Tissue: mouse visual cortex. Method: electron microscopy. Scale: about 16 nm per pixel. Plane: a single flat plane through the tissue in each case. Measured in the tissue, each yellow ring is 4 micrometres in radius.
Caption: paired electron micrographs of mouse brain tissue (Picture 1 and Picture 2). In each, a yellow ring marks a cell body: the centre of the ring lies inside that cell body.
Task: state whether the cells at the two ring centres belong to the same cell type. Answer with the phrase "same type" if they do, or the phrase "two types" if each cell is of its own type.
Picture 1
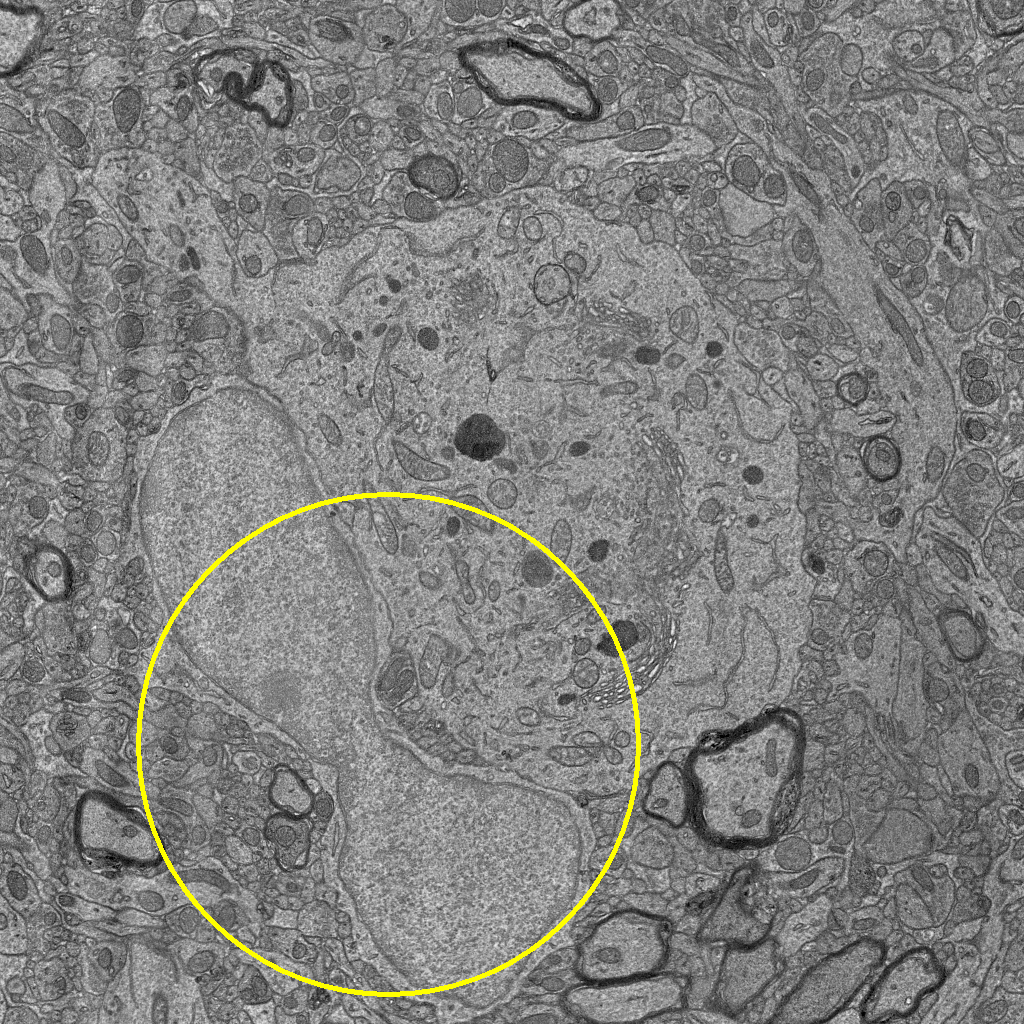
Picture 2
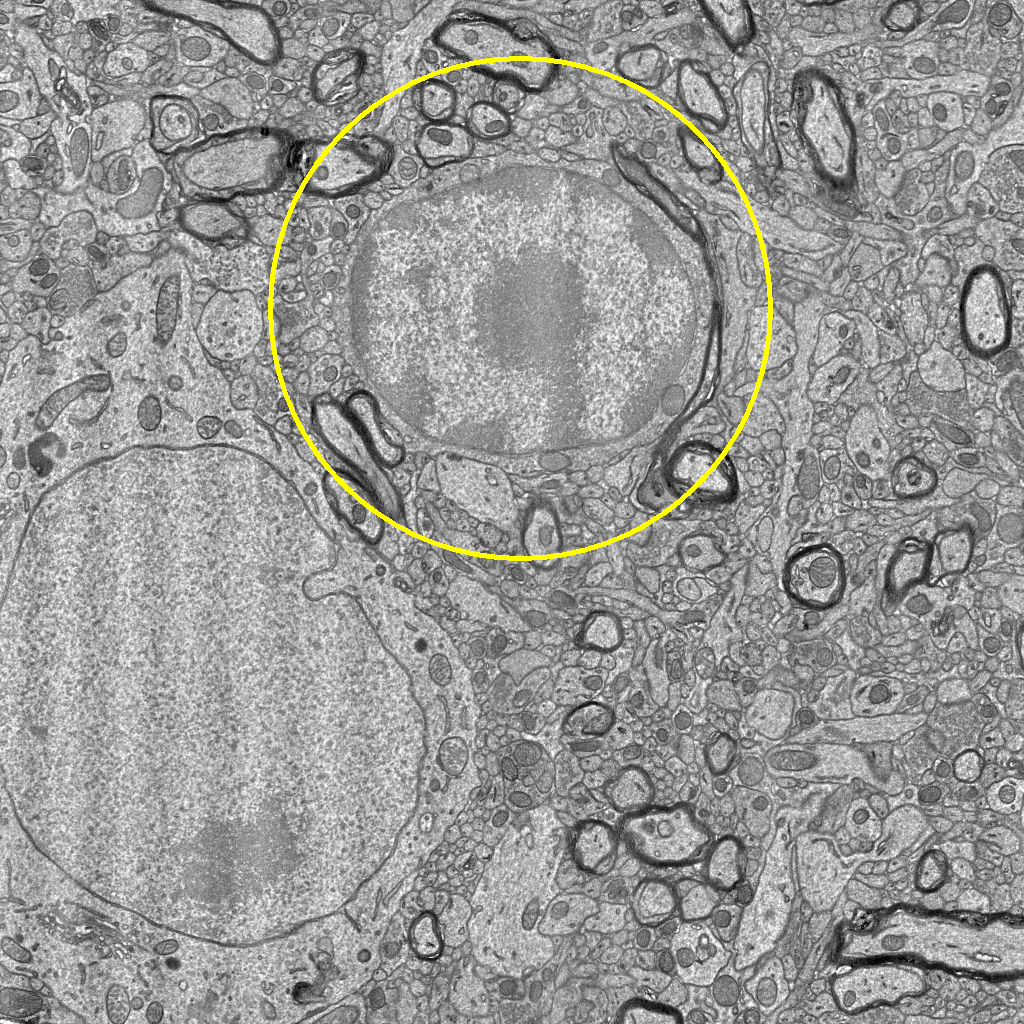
same type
